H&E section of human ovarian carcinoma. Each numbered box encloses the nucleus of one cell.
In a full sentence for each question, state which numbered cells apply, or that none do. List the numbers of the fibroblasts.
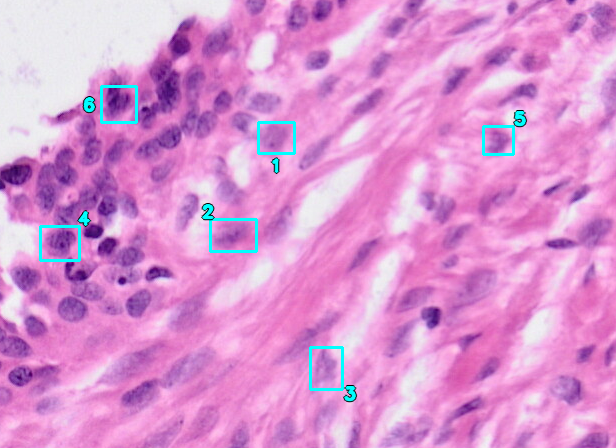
The cells numbered 1, 2, 3 and 5 are identified as fibroblasts.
